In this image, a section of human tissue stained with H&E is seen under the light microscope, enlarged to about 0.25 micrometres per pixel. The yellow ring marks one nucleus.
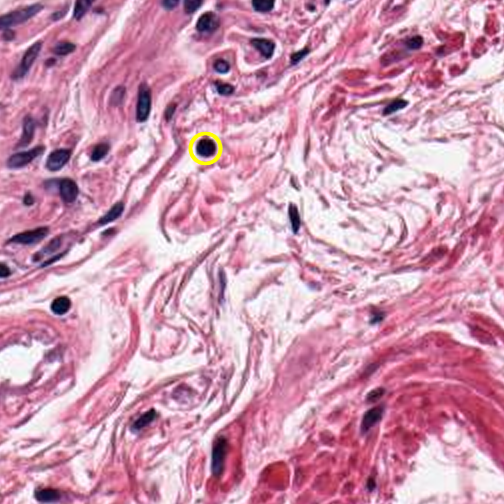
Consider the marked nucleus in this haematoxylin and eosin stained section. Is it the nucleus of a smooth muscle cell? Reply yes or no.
no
